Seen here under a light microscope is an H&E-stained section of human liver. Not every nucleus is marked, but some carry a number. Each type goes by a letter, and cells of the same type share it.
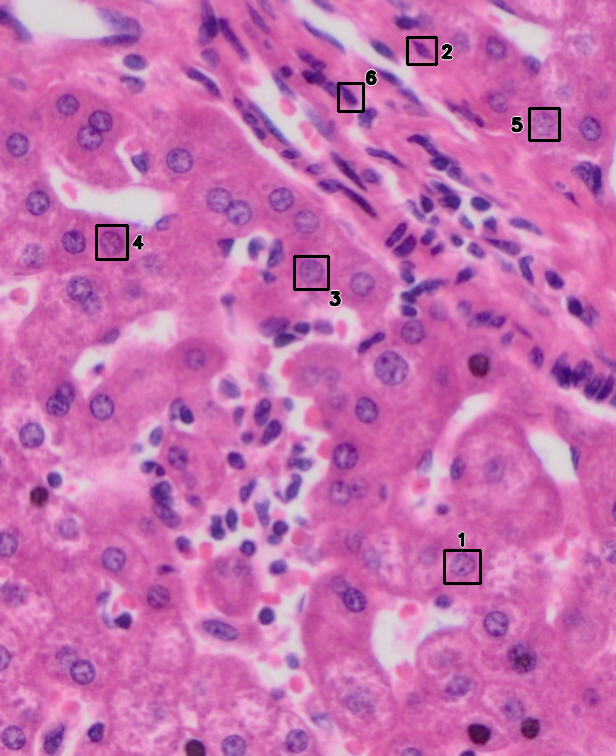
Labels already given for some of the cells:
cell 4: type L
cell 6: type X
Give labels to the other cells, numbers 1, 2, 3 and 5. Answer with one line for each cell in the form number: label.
1: type L
2: type X
3: type L
5: type L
